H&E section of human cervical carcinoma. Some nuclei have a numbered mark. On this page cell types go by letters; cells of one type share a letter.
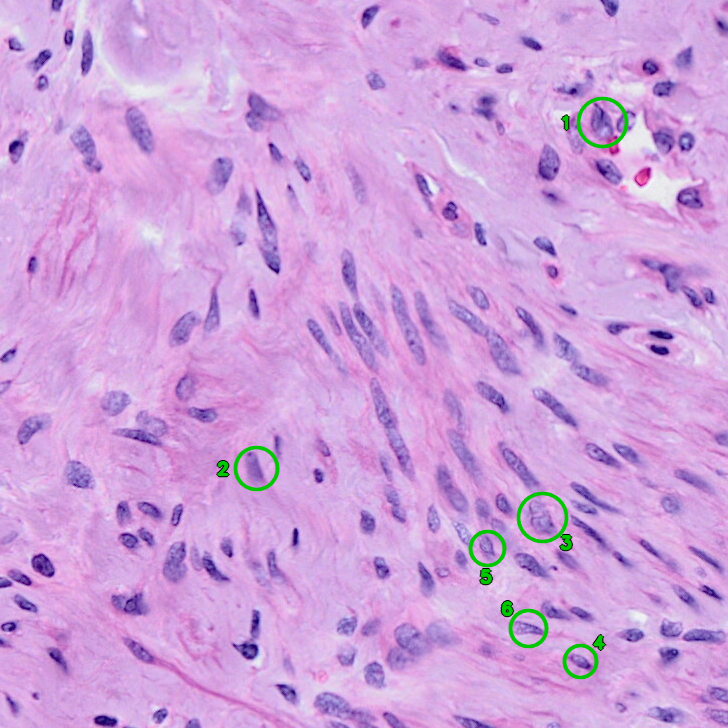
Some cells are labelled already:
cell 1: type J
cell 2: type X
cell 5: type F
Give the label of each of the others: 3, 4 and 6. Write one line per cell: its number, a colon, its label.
3: type F
4: type F
6: type F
